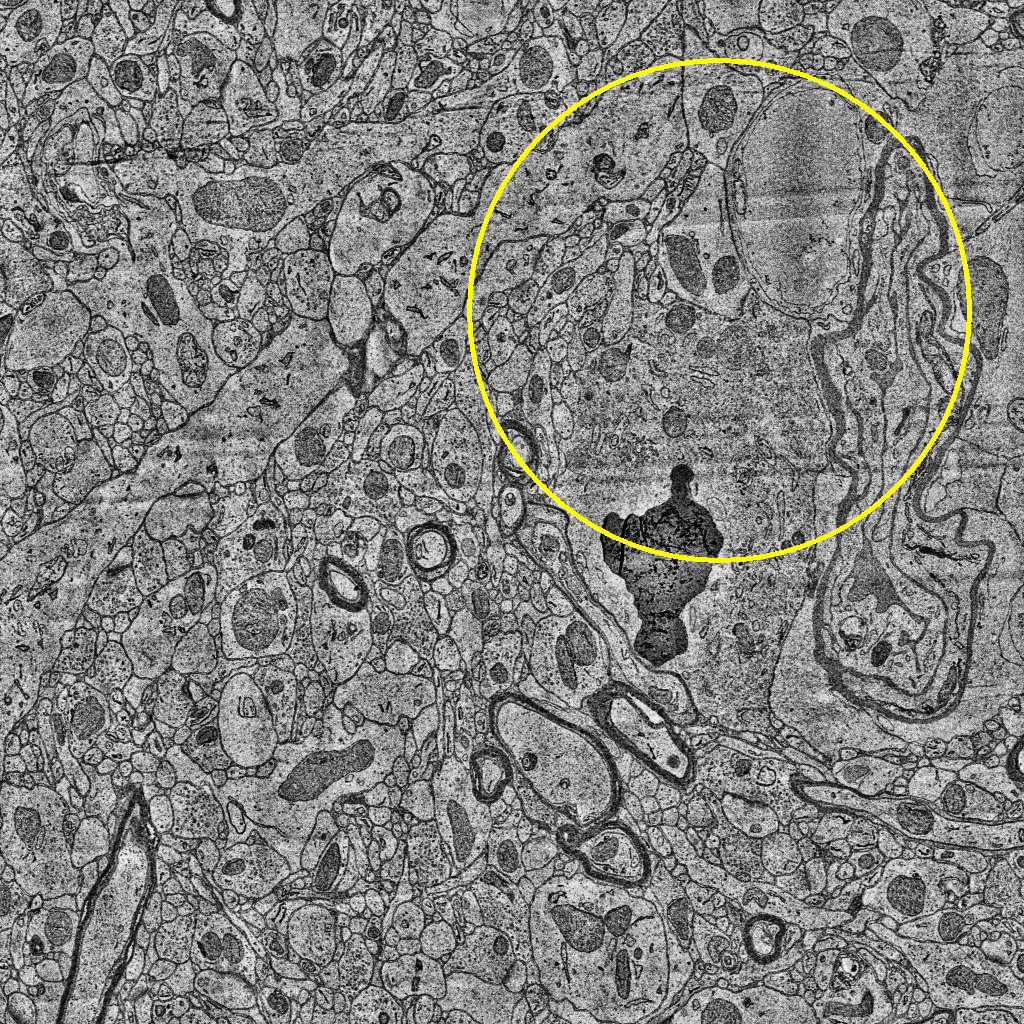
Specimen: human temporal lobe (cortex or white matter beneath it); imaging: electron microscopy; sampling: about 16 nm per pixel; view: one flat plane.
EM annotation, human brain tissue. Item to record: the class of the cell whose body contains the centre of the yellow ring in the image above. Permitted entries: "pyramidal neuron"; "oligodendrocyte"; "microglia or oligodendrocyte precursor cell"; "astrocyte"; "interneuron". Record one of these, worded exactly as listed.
oligodendrocyte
